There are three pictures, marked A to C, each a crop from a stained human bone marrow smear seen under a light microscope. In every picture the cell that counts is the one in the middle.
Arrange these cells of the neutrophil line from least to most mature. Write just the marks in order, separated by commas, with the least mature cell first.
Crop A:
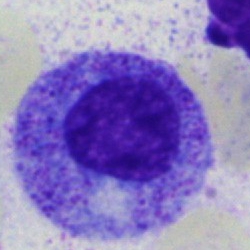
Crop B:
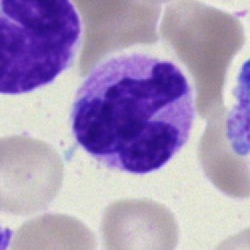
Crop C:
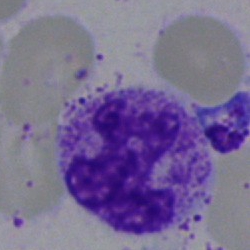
A, B, C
